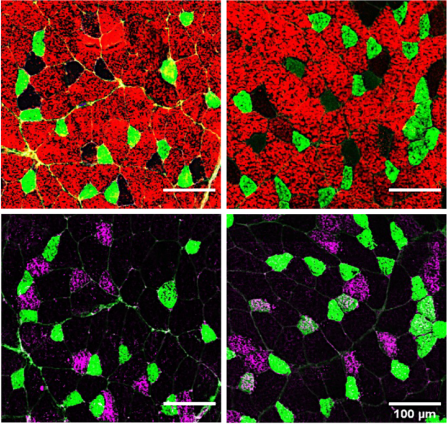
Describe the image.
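These are skeletal muscle fibers cut in cross section, seen as closely packed polygonal profiles separated by thin outlines. In the upper images most fibers are filled with a speckled red signal, with scattered green fibers and a few dark, unlabelled fibers lying among them. The different fiber types are intermingled as a mosaic rather than grouped into separate blocks.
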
